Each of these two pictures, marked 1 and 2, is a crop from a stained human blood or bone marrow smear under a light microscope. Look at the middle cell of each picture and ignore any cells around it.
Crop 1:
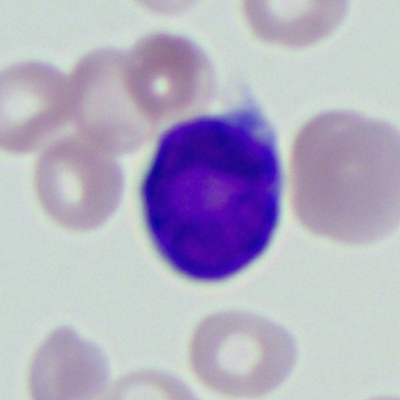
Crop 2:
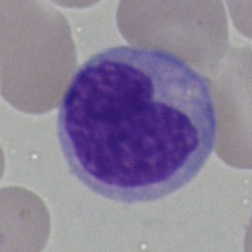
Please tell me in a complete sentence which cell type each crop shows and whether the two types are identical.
No, a monocyte is depicted in crop 2, whereas a blast is depicted in crop 1.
